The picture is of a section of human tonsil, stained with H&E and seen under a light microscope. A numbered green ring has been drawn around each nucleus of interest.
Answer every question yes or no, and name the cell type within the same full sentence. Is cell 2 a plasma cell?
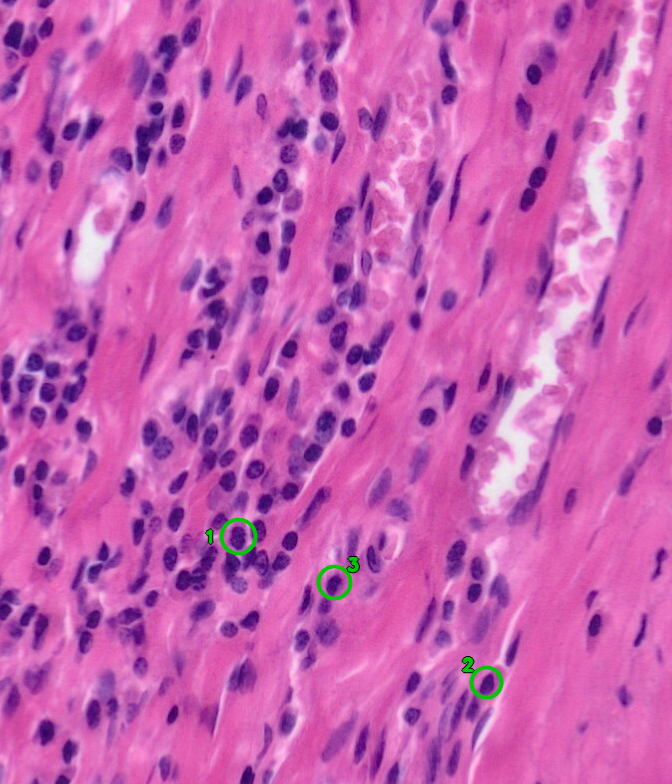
No, the cell with number 2 is not a plasma cell but a mast cell.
